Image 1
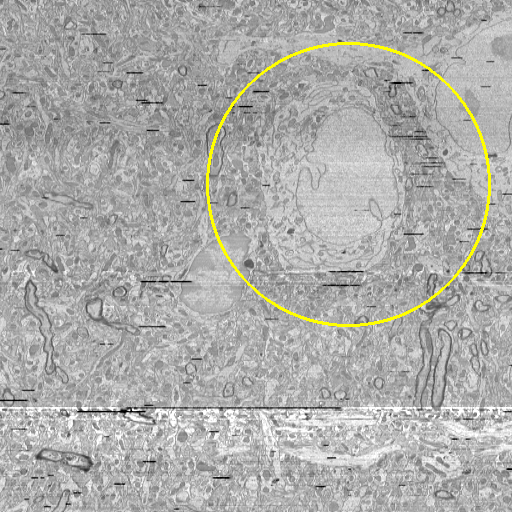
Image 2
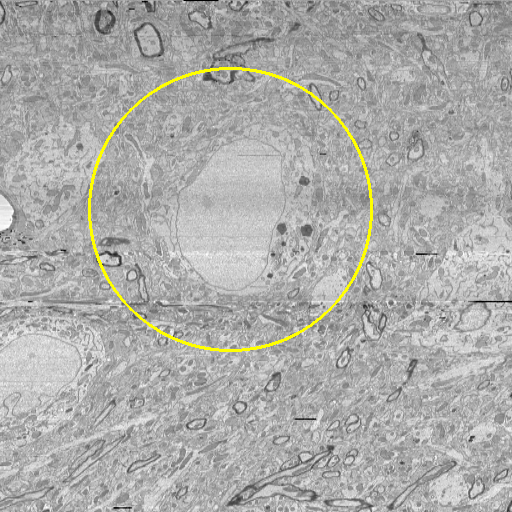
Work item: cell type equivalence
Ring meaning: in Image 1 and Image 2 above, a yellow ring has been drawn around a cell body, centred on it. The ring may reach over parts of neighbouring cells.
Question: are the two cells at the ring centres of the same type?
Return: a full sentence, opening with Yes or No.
No, the two centred cells are of two types.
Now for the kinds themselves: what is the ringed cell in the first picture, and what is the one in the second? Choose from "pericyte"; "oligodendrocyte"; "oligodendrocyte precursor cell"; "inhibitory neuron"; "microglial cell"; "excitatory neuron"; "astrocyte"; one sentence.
Here the first cell is an inhibitory neuron and the second cell is an excitatory neuron.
